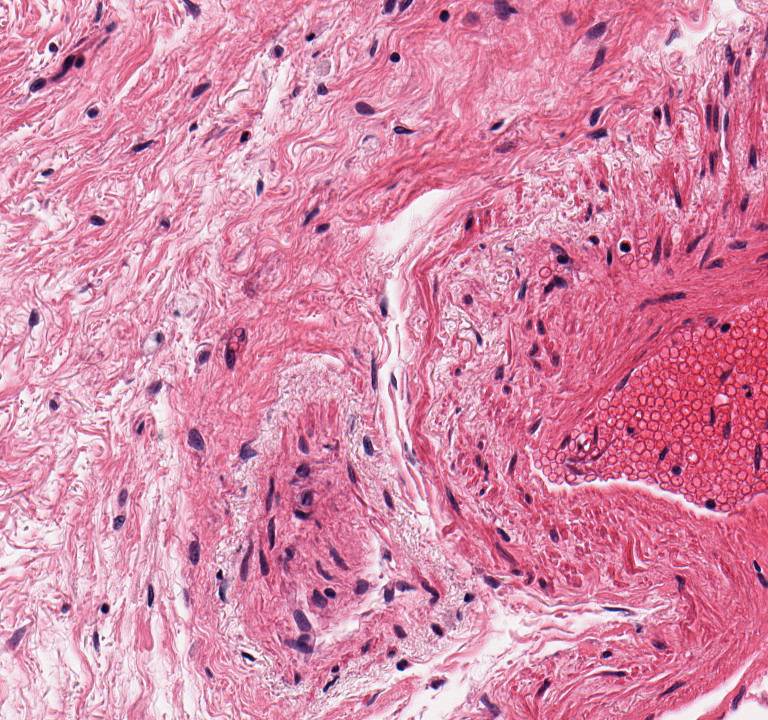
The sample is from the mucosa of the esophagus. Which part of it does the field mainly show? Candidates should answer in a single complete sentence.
This image of human tissue depicts the part termed loose connective tissue.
